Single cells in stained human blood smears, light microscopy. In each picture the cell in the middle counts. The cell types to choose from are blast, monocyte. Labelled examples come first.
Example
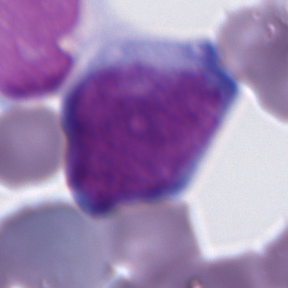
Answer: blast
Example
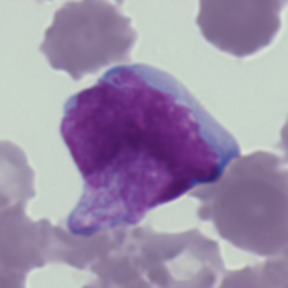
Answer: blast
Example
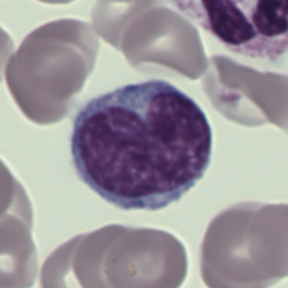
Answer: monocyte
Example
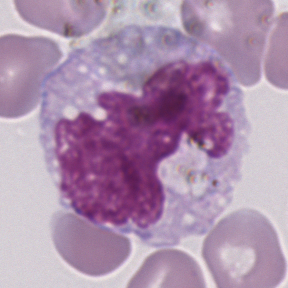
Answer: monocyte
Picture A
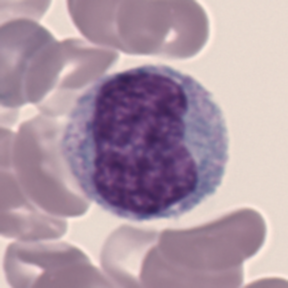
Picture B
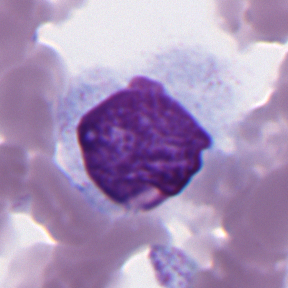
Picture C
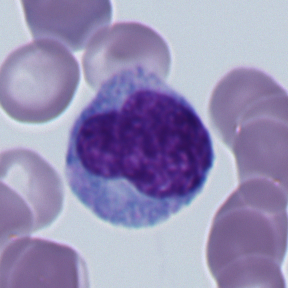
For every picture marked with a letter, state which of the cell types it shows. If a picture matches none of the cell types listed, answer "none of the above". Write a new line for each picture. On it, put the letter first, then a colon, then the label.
A: monocyte
B: monocyte
C: monocyte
